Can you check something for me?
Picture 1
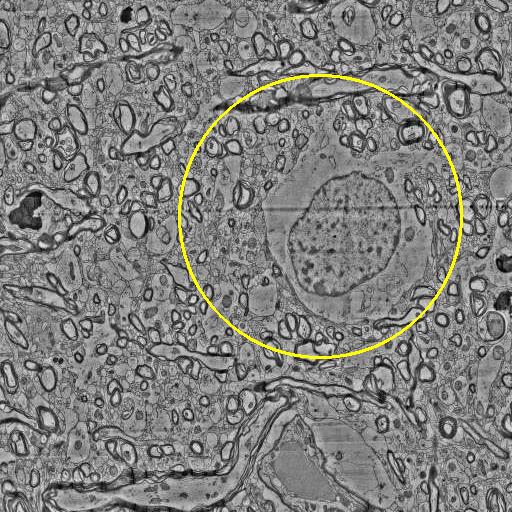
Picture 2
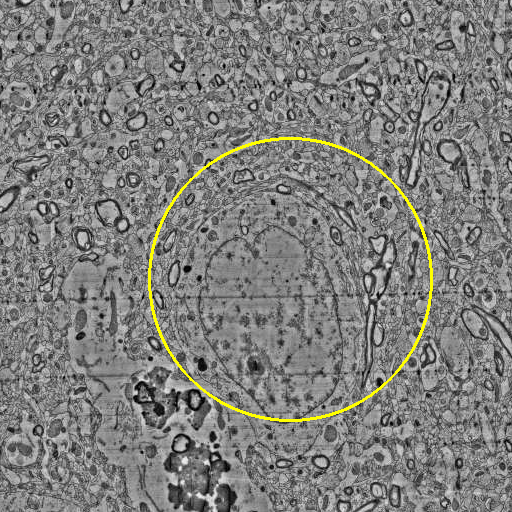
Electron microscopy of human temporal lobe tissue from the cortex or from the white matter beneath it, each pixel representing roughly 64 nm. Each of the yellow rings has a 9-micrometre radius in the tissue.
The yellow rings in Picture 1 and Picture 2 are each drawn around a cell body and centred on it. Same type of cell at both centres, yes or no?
no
